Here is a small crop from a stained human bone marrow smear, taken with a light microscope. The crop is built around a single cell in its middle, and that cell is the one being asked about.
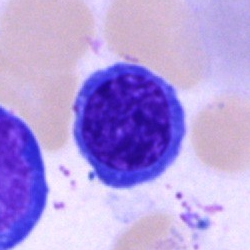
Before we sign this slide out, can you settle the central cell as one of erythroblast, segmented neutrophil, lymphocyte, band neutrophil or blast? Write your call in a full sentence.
The cell at the centre of the field is an erythroblast.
